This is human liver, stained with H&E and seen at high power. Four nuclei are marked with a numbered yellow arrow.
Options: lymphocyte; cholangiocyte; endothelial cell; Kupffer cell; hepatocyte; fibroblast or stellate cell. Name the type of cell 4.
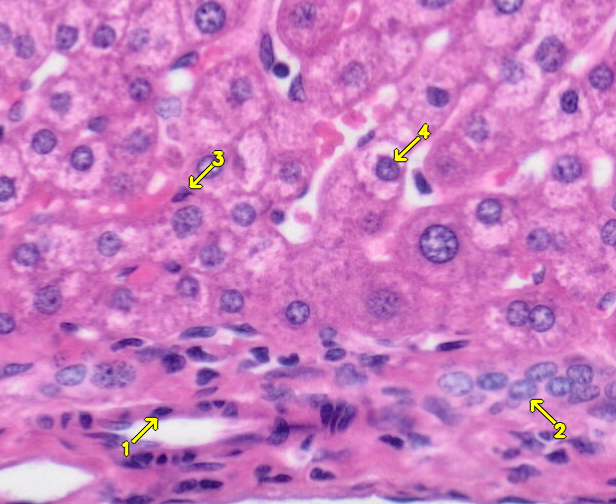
hepatocyte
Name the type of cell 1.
fibroblast or stellate cell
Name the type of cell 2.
cholangiocyte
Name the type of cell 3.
fibroblast or stellate cell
